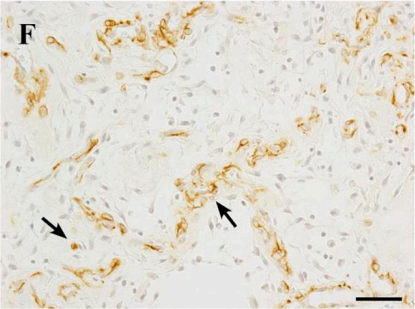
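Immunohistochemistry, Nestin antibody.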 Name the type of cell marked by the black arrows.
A: Endothelial cells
